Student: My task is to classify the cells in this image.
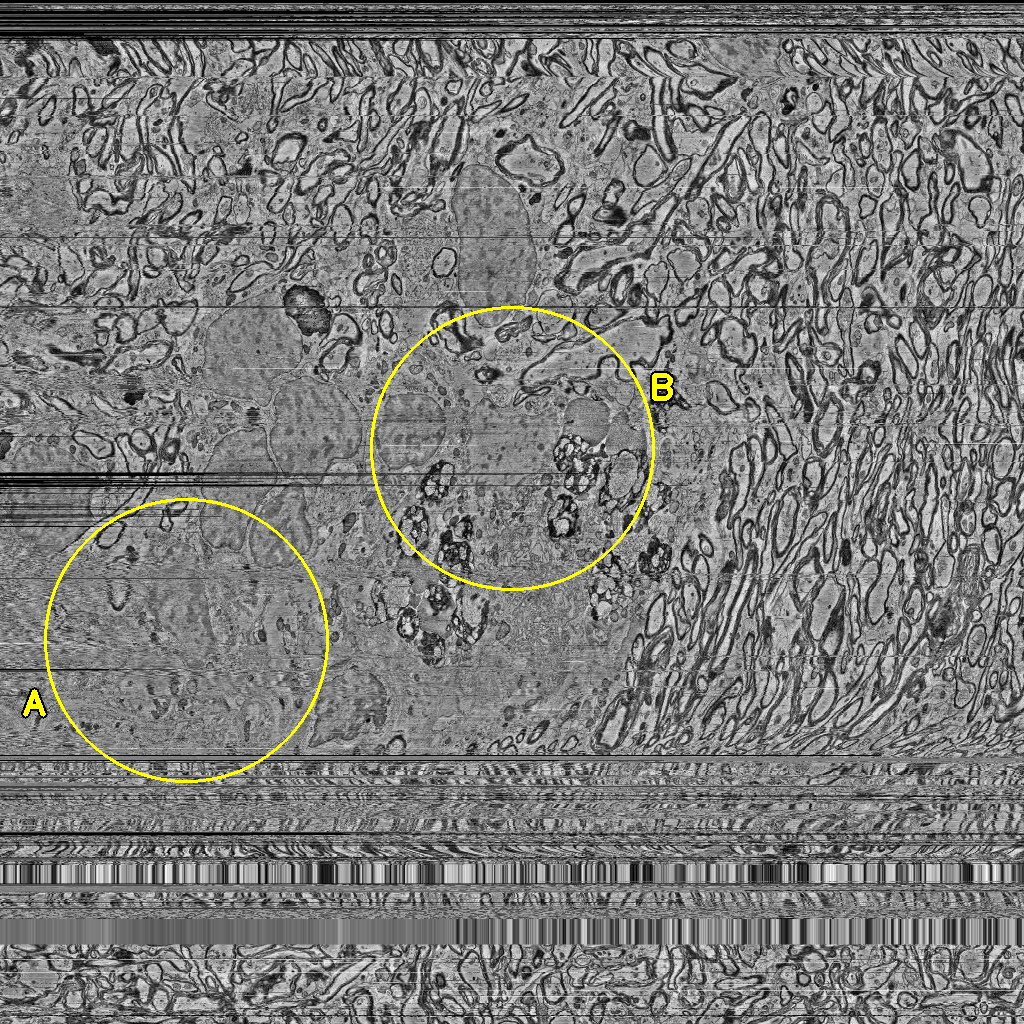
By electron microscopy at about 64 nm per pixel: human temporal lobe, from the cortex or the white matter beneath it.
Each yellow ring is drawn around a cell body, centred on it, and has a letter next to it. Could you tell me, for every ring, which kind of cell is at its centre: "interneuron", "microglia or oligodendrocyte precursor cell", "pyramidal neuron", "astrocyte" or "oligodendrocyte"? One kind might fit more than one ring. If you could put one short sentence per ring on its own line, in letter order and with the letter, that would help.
Ring A's central cell is a microglial cell or oligodendrocyte precursor cell.
Ring B's central cell is an astrocyte.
